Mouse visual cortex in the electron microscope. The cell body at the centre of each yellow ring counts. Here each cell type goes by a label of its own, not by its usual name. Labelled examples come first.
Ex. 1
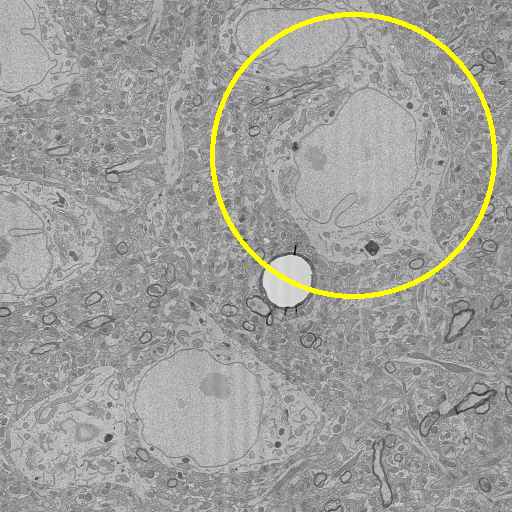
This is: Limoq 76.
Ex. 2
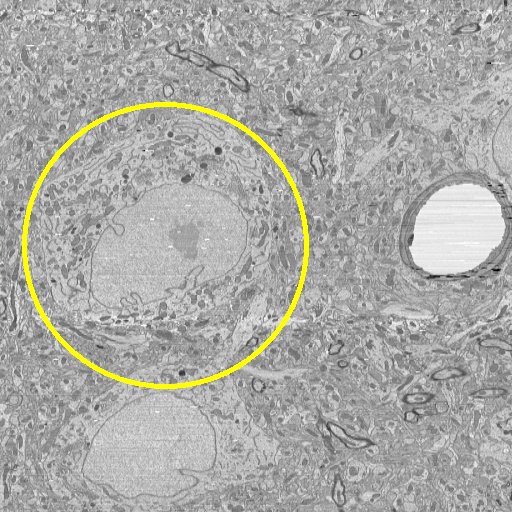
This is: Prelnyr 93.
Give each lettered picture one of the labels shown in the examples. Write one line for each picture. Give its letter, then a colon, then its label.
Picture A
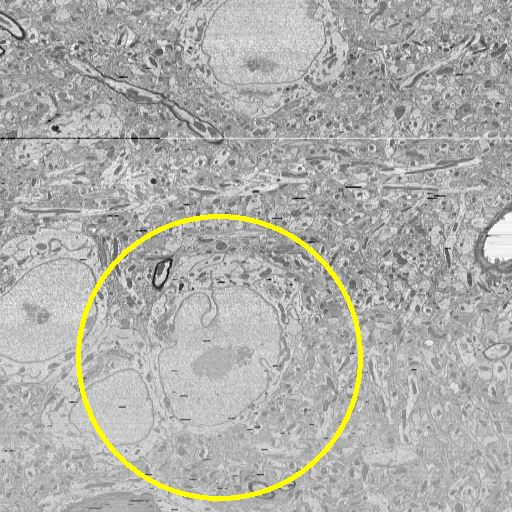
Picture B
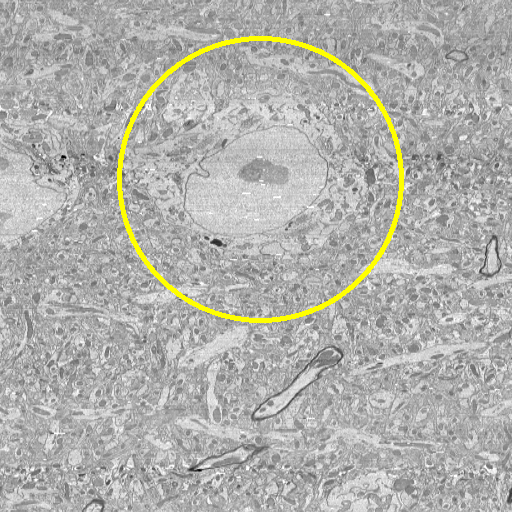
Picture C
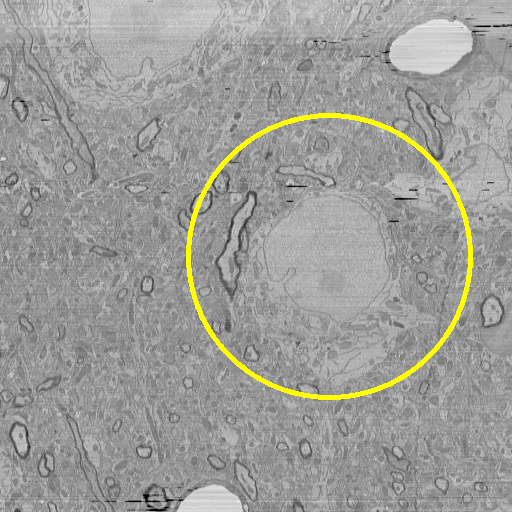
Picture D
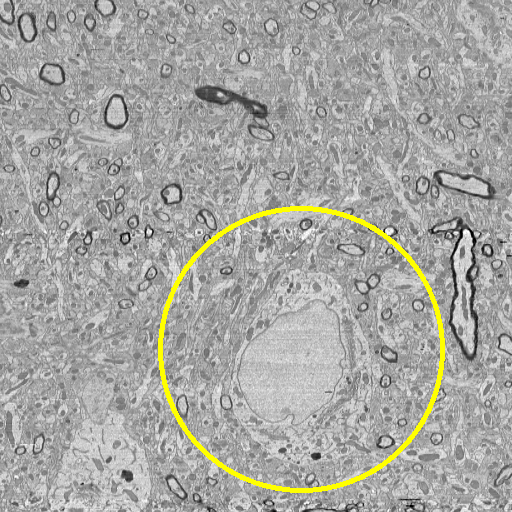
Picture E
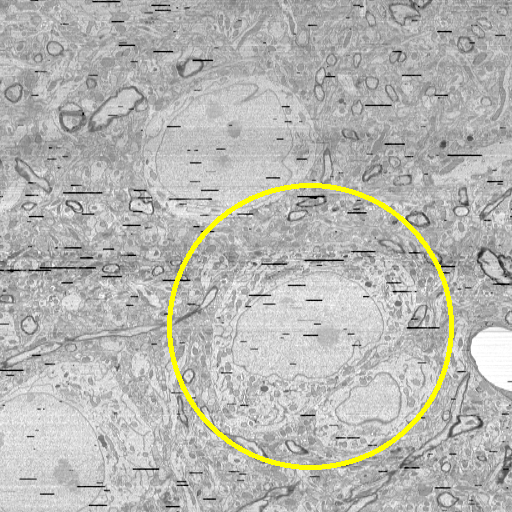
A: Prelnyr 93.
B: Limoq 76.
C: Limoq 76.
D: Prelnyr 93.
E: Prelnyr 93.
